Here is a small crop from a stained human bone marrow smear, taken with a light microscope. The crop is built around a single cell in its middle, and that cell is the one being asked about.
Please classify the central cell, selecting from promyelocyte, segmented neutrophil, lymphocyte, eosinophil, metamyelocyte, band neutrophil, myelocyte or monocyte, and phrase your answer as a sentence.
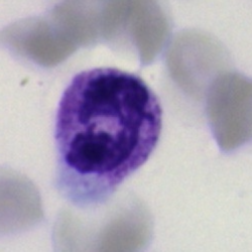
This crop is built around a segmented neutrophil at its centre.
